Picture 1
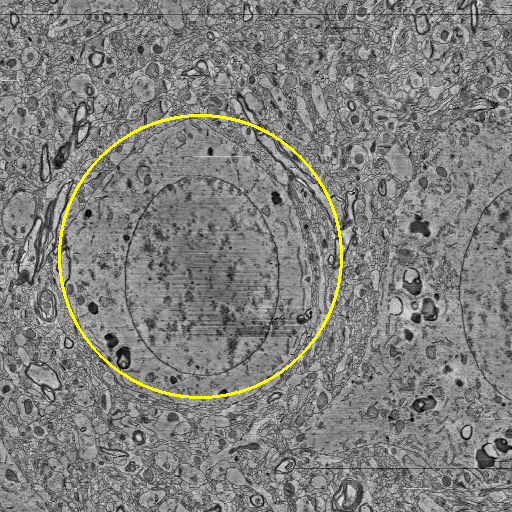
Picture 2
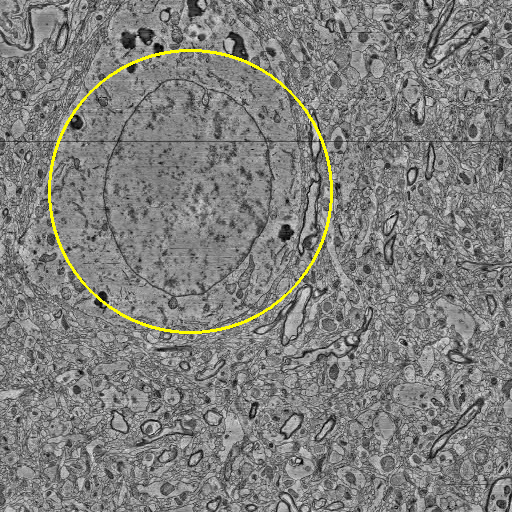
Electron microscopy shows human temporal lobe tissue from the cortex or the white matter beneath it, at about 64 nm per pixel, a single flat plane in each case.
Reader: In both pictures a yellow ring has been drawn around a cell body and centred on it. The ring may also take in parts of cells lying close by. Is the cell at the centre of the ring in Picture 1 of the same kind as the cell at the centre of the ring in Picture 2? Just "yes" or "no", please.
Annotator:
yes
